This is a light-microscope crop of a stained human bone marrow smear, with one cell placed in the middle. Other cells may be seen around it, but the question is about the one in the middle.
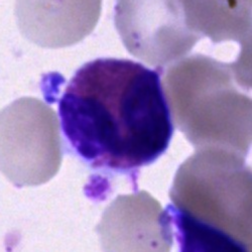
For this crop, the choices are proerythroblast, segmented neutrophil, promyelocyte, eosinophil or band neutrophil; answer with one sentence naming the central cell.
In the middle of this smear crop is an eosinophil.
